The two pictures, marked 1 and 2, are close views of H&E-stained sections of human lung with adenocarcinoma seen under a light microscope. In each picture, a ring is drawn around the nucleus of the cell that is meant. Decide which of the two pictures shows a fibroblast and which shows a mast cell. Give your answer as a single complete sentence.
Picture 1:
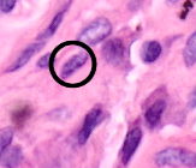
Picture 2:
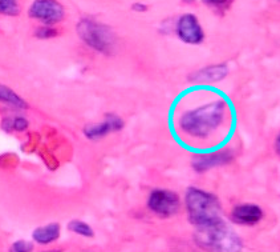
Picture 1 shows a mast cell and picture 2 shows a fibroblast.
